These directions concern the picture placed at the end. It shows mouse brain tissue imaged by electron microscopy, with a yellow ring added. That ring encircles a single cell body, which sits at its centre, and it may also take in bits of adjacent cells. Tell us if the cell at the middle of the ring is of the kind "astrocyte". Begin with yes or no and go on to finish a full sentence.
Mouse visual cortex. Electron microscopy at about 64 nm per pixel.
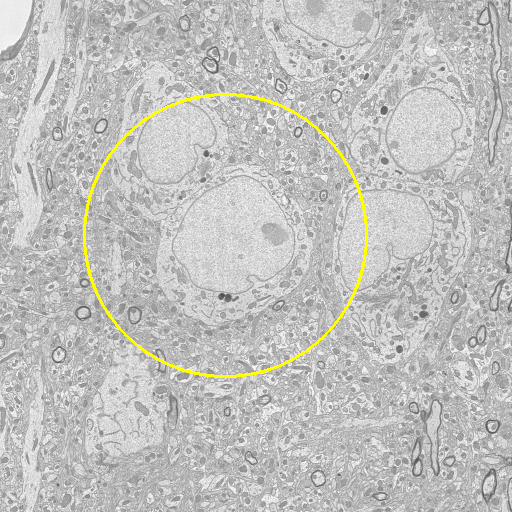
No, the cell sitting at the centre of the yellow ring in the picture belongs to another kind.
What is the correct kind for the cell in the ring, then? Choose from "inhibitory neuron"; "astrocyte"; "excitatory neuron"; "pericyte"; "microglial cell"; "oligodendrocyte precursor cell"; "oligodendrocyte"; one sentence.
As it turns out, the cell at the ring centre is an excitatory neuron.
